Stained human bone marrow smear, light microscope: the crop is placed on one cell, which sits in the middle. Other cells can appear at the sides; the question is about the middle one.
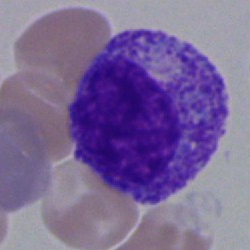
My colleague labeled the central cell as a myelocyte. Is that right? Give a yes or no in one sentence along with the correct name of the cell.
Yes, the cell found in the center of the crop is a myelocyte.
